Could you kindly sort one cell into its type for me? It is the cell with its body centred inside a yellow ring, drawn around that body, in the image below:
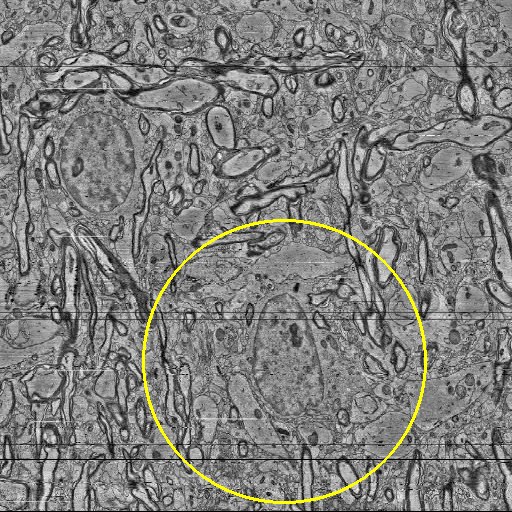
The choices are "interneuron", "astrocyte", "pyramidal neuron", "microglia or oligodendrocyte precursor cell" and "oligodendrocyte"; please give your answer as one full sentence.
The cell whose body lies centred in the yellow ring here is an oligodendrocyte.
